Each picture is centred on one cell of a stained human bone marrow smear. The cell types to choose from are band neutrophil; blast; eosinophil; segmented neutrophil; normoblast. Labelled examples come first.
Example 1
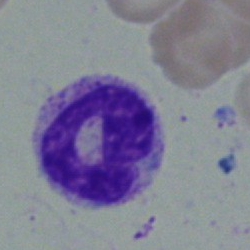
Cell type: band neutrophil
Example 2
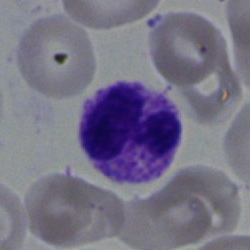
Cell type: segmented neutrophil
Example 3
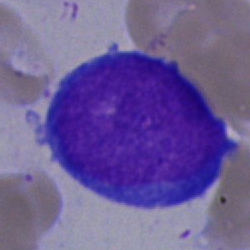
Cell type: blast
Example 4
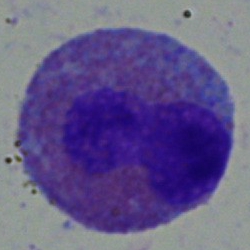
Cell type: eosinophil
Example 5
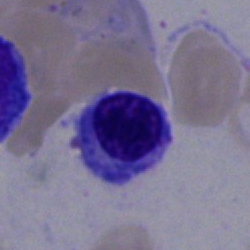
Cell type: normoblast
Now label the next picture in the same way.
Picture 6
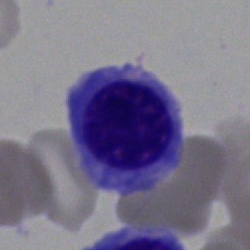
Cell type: normoblast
